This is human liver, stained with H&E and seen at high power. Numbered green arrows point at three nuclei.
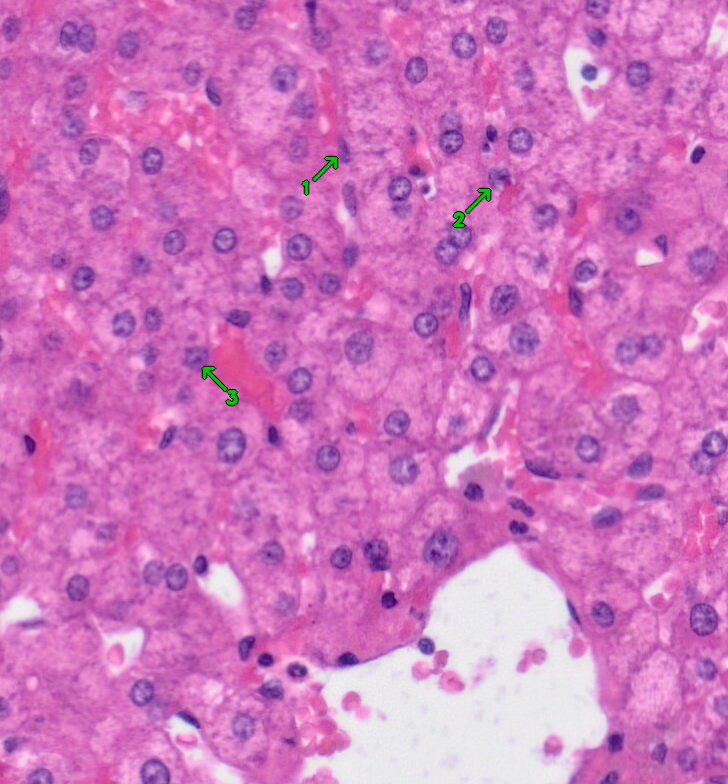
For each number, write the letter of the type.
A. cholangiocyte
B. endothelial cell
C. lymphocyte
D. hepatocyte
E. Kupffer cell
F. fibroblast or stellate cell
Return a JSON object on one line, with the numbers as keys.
{"1": "F", "2": "B", "3": "D"}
